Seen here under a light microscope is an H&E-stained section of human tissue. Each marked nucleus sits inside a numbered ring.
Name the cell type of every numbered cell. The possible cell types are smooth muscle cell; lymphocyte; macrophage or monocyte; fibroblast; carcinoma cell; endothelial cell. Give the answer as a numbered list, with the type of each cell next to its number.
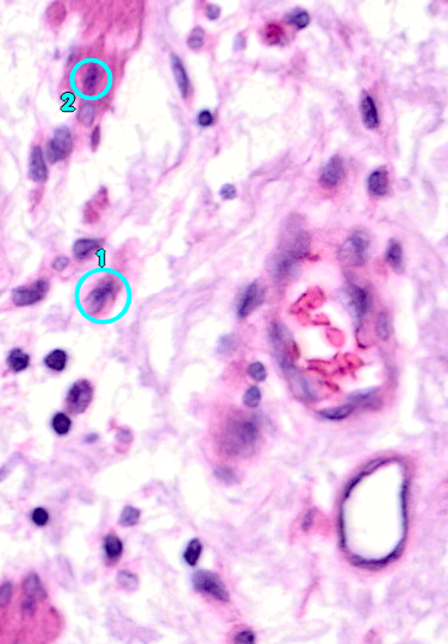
1. endothelial cell
2. smooth muscle cell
